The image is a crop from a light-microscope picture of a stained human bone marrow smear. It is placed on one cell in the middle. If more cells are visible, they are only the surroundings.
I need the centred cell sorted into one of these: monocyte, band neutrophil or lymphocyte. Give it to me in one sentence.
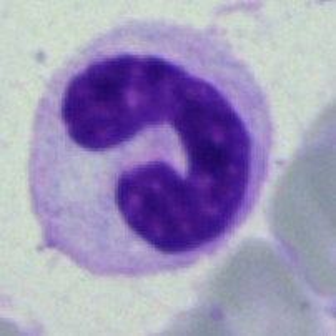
The cell under consideration, at the middle of the crop, is a band neutrophil.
